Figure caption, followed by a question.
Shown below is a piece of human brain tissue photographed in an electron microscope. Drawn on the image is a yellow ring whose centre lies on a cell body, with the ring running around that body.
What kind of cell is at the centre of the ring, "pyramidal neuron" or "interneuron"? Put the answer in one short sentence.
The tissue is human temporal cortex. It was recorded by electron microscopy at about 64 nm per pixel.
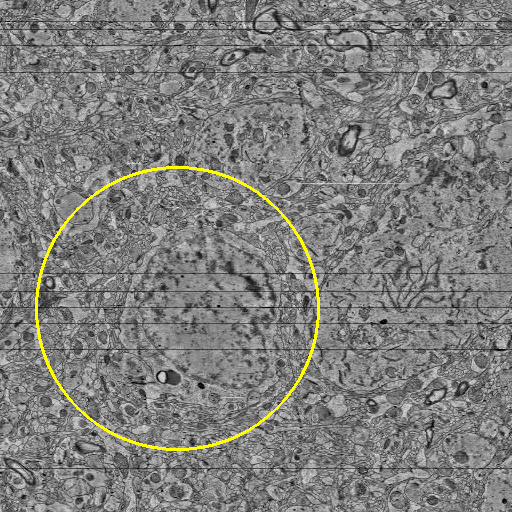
The ring marks the cell body of an interneuron.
